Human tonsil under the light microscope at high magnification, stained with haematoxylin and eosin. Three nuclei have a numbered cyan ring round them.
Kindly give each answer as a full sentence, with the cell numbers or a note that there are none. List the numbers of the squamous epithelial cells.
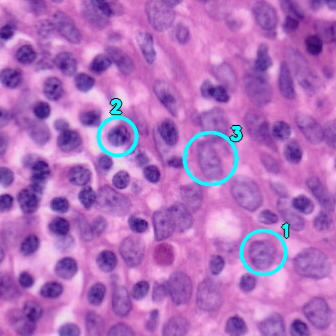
The cells tagged with numbers 1 and 3 are squamous epithelial cells.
